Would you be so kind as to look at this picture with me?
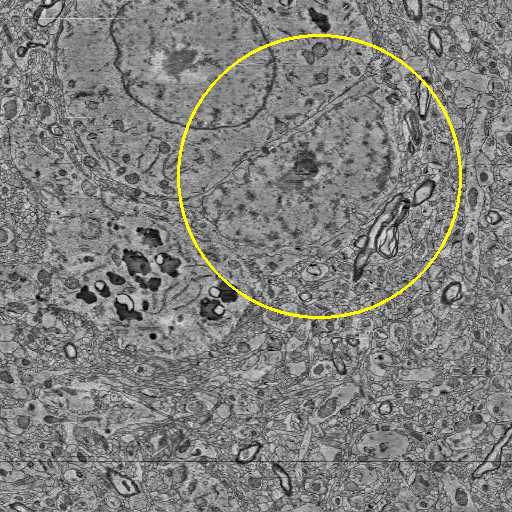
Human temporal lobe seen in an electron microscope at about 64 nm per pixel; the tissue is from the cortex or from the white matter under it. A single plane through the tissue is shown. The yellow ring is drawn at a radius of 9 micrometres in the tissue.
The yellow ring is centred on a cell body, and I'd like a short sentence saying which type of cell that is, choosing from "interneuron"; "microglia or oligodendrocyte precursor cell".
The cell body in the ring belongs to an interneuron.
